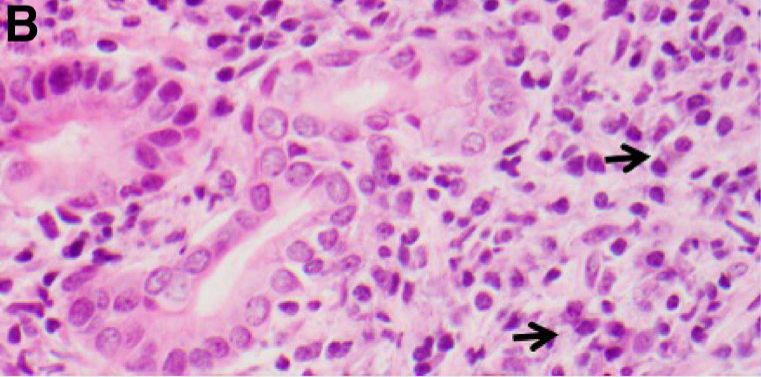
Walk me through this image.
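This shows glandular tissue with a dense chronic inflammatory infiltrate in the stroma. On the left, glands are lined by columnar epithelial cells. Their nuclei are oval and vesicular, and their cytoplasm is pink. The stroma between and beside the glands is packed with small mononuclear cells. Some are lymphocytes with small round dark nuclei and scant cytoplasm. Others are plasma cells, with round nuclei set off to one side and a rim of pink cytoplasm. These cells crowd the stroma. Occasional spindle-shaped stromal nuclei lie among them.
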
